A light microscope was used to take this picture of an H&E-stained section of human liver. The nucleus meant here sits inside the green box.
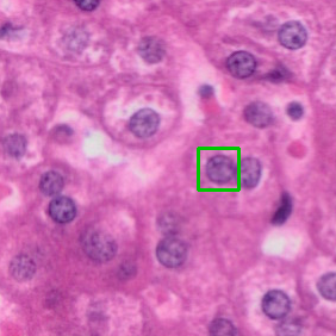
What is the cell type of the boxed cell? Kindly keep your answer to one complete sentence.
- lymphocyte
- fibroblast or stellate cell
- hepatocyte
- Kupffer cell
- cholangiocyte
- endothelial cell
Cell type answer for this item: the boxed cell is a hepatocyte.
